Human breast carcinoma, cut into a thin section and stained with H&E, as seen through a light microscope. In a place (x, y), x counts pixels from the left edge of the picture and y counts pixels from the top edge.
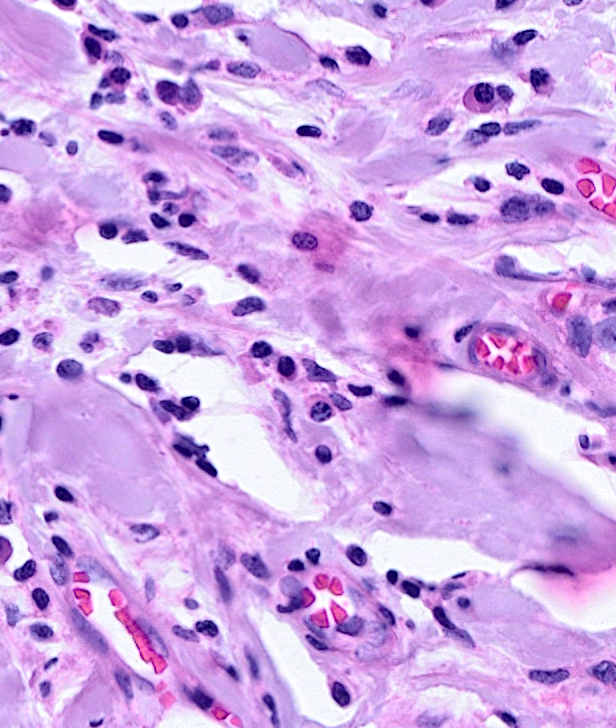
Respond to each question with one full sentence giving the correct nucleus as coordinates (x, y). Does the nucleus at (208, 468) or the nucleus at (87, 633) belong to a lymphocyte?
The nucleus whose cell is a lymphocyte is the one at (208, 468).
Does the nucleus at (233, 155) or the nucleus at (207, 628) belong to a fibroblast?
The nucleus at (233, 155), rather than the other, belongs to a fibroblast.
